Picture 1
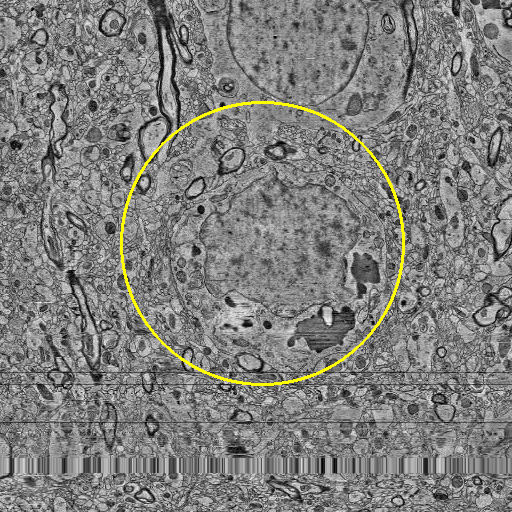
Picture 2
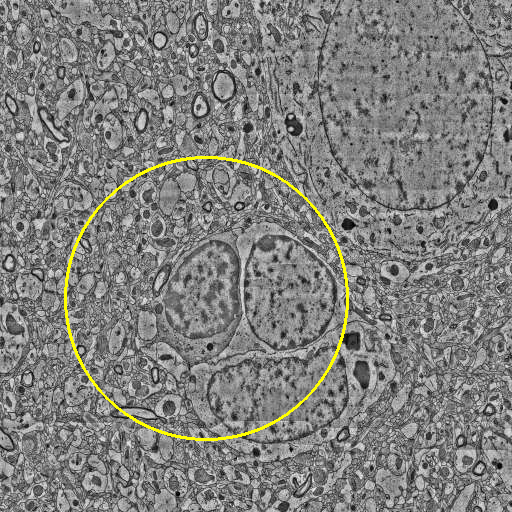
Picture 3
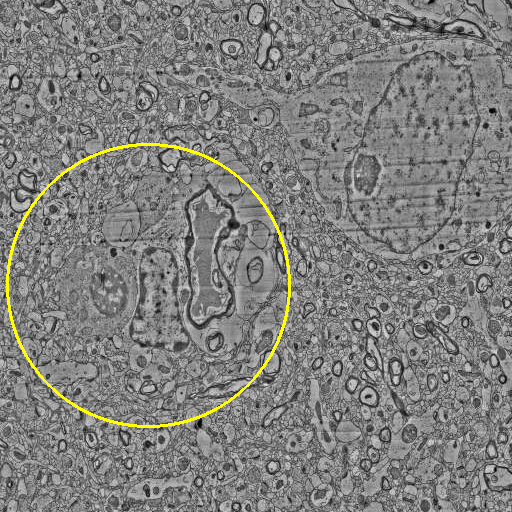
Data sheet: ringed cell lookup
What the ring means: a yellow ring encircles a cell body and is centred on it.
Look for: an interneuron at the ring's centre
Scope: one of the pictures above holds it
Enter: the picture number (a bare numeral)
1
